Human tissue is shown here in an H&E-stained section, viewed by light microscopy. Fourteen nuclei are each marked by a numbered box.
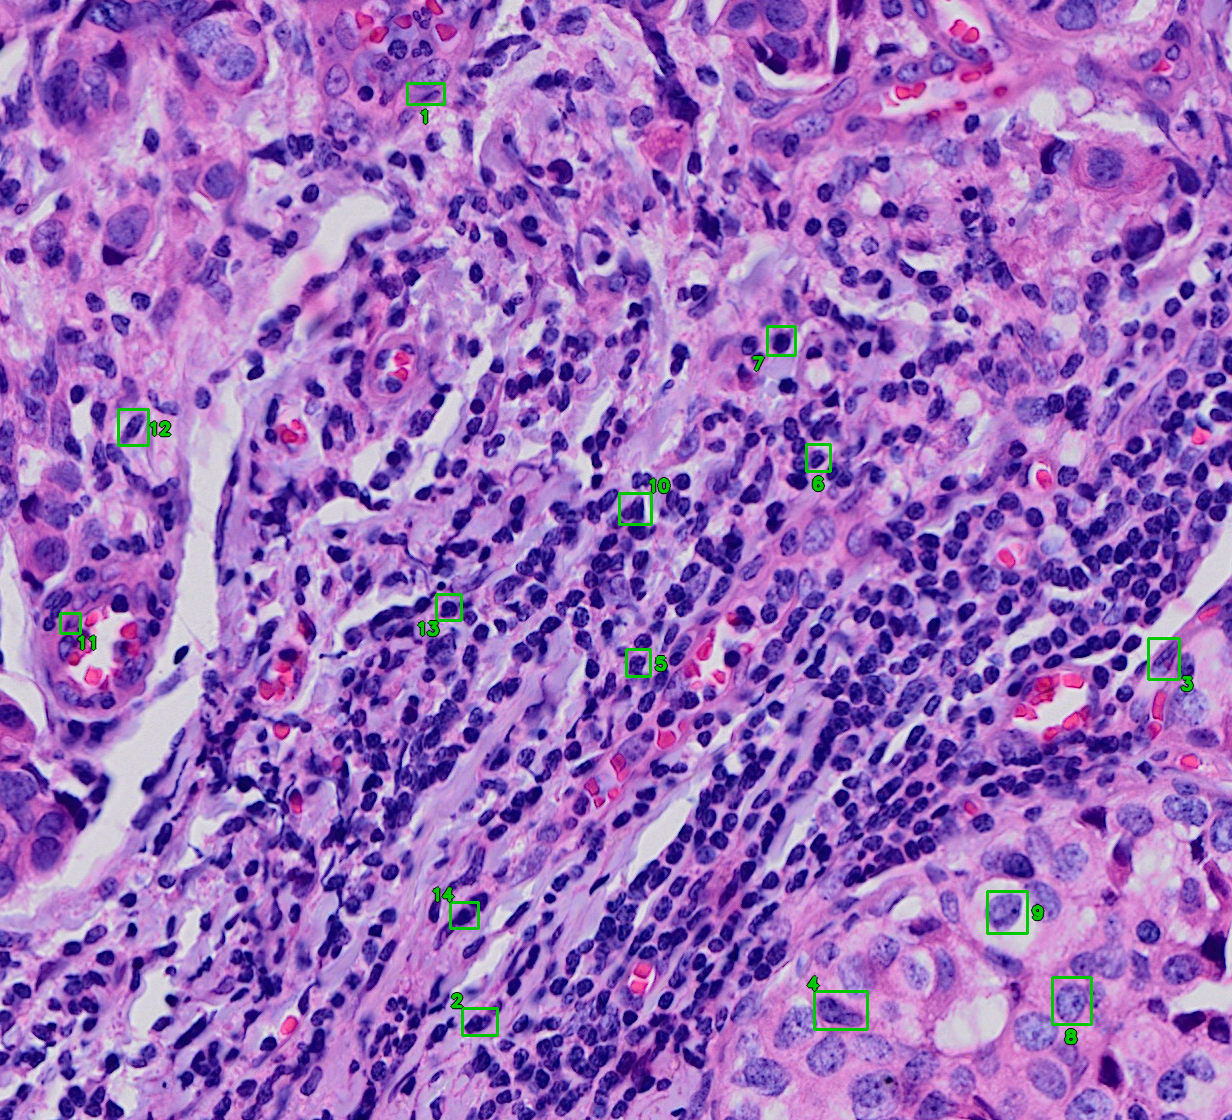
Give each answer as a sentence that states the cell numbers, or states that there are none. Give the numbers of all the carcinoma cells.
The cells numbered 4, 8 and 9 are typed as carcinoma cells.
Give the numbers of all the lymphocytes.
The cells referred to by the numbers 2, 5, 6, 7, 10, 12, 13 and 14 are lymphocytes.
